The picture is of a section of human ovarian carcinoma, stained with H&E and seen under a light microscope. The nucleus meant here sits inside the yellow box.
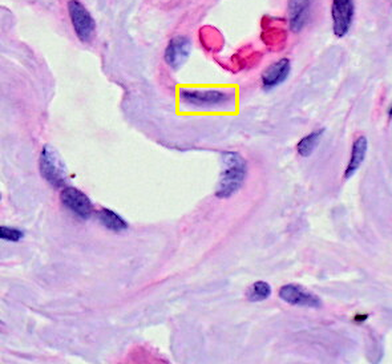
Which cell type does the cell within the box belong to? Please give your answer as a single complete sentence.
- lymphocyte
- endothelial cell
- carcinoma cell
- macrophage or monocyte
In the context of this tissue, the cell within the box is an endothelial cell.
